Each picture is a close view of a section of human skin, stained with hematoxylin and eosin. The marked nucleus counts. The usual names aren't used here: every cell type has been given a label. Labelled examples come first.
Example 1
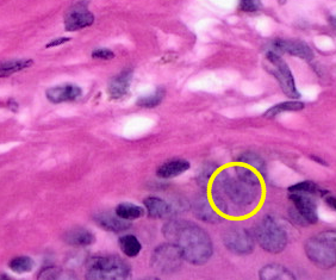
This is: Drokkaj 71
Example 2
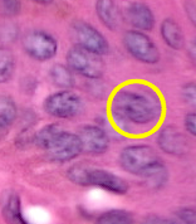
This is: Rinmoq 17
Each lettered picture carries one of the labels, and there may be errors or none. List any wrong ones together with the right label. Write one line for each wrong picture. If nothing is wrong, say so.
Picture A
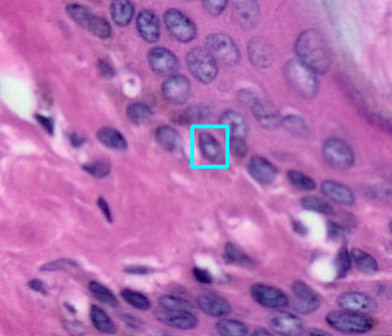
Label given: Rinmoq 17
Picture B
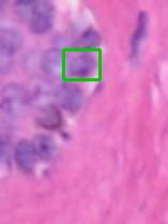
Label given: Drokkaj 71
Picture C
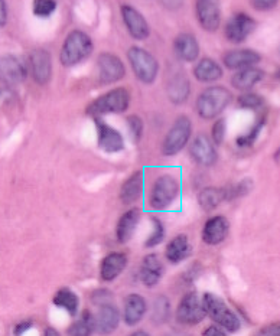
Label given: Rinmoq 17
A: not Rinmoq 17 but Drokkaj 71
C: not Rinmoq 17 but Drokkaj 71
